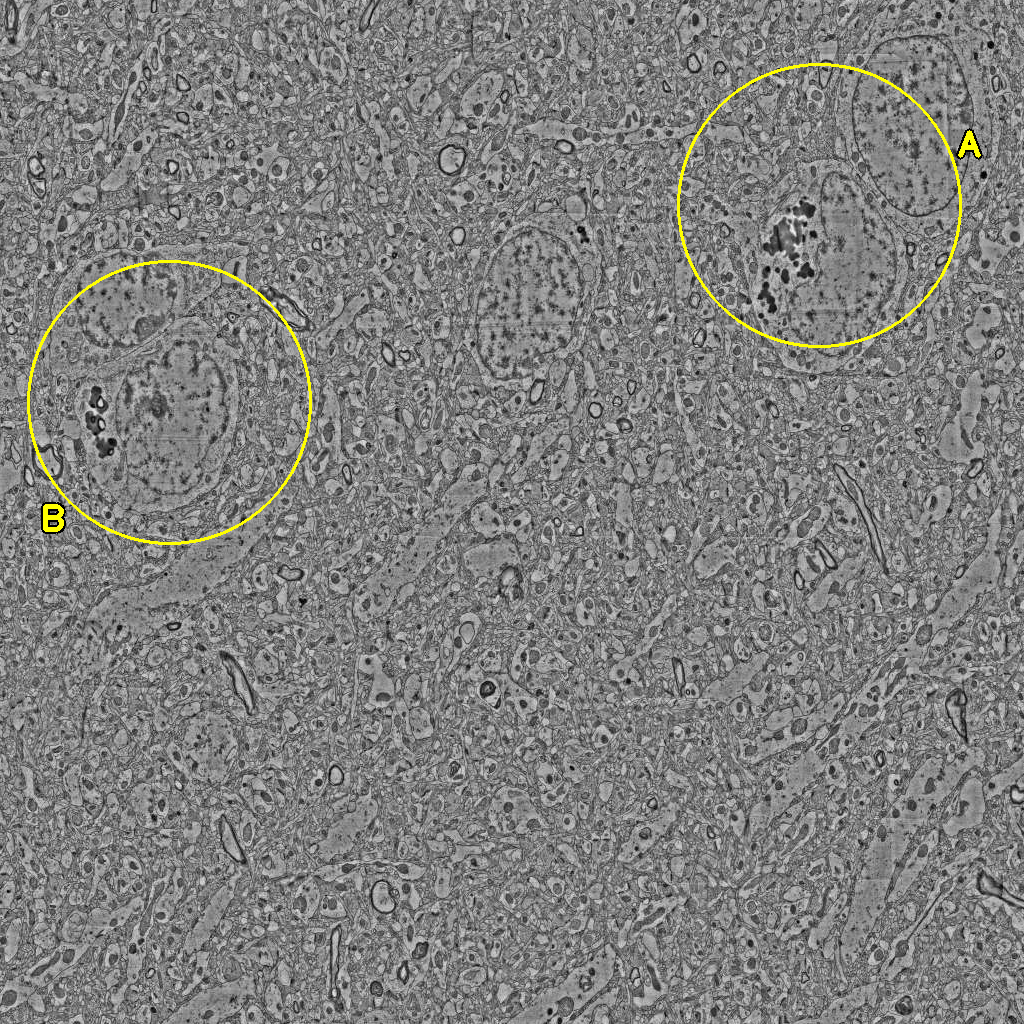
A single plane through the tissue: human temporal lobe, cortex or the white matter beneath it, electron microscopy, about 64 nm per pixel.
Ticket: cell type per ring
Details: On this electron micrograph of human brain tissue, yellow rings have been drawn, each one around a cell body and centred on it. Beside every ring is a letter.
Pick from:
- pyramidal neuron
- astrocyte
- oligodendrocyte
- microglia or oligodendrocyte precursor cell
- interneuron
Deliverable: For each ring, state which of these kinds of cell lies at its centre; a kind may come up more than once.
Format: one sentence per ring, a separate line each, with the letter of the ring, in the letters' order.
The cell body ringed as A belongs to an interneuron.
The cell body ringed as B belongs to an interneuron.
